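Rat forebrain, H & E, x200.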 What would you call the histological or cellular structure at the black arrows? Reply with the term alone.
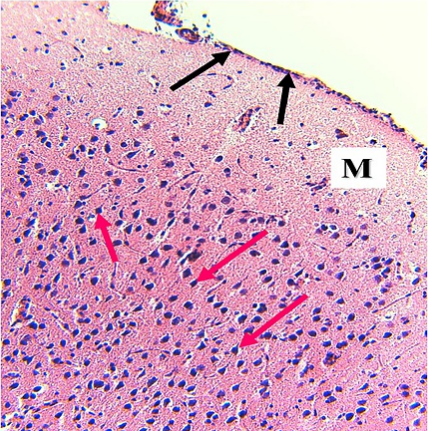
Leptomeningeal layer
